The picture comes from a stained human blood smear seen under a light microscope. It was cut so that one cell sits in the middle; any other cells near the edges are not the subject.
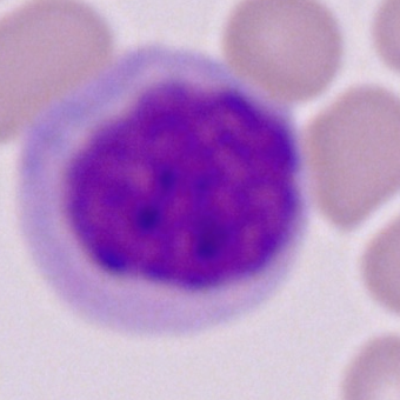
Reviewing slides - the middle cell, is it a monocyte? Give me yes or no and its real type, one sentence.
Yes, the crop is centred on a monocyte.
